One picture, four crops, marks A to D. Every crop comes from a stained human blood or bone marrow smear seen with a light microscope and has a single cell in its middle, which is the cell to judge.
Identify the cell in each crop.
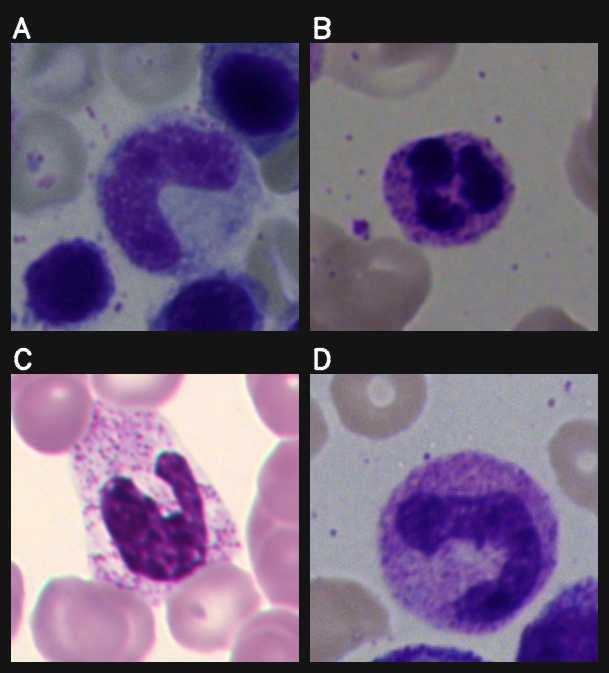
A: band neutrophil
B: segmented neutrophil
C: segmented neutrophil
D: band neutrophil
